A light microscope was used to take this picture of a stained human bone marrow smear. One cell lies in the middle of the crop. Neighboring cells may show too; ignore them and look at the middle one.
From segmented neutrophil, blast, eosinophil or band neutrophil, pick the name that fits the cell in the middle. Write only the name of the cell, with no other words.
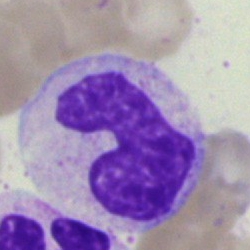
band neutrophil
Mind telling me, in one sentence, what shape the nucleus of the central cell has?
In this cell the nucleus is a solitary compact mass, round, oval or kidney-shaped.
